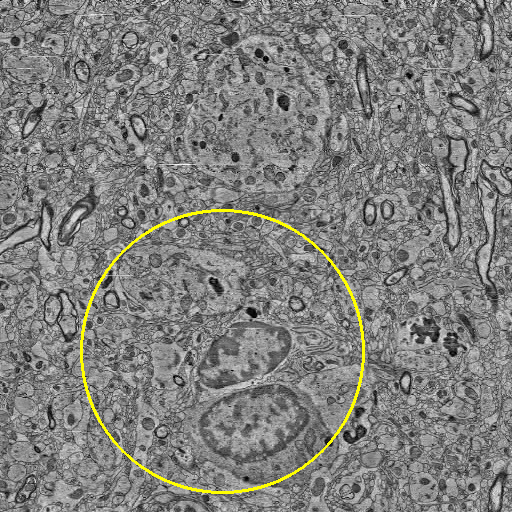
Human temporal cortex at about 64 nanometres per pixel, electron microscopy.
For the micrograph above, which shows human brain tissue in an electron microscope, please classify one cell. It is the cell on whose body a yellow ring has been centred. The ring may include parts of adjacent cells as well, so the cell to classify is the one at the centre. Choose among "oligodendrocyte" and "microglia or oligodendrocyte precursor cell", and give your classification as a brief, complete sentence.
I classify this cell as a microglial cell or oligodendrocyte precursor cell.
